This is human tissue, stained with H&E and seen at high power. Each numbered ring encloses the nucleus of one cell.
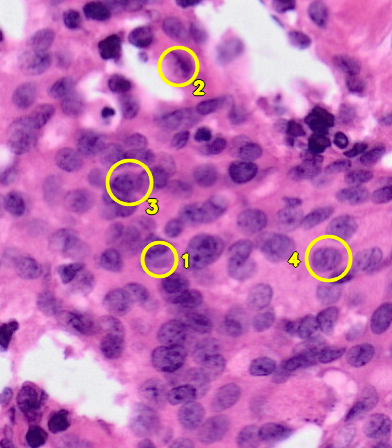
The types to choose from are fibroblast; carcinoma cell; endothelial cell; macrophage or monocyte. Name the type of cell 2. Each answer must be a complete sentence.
Nucleus 2 in this section belongs to an endothelial cell.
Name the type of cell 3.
Number 3 among the marked cells is a carcinoma cell.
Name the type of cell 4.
The cell identified by the number 4 is a carcinoma cell.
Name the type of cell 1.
What the number 1 marks in this field is a carcinoma cell.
